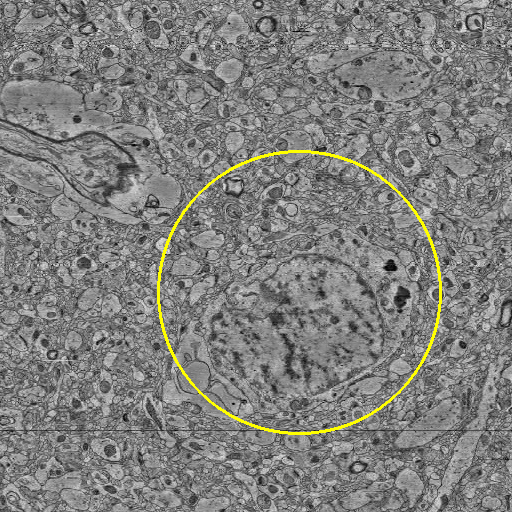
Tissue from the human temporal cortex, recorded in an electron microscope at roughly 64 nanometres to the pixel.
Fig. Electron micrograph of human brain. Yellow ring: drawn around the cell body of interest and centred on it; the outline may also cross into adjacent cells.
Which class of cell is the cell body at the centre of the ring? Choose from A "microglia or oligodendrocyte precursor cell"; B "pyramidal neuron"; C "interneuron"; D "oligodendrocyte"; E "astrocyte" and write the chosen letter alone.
C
